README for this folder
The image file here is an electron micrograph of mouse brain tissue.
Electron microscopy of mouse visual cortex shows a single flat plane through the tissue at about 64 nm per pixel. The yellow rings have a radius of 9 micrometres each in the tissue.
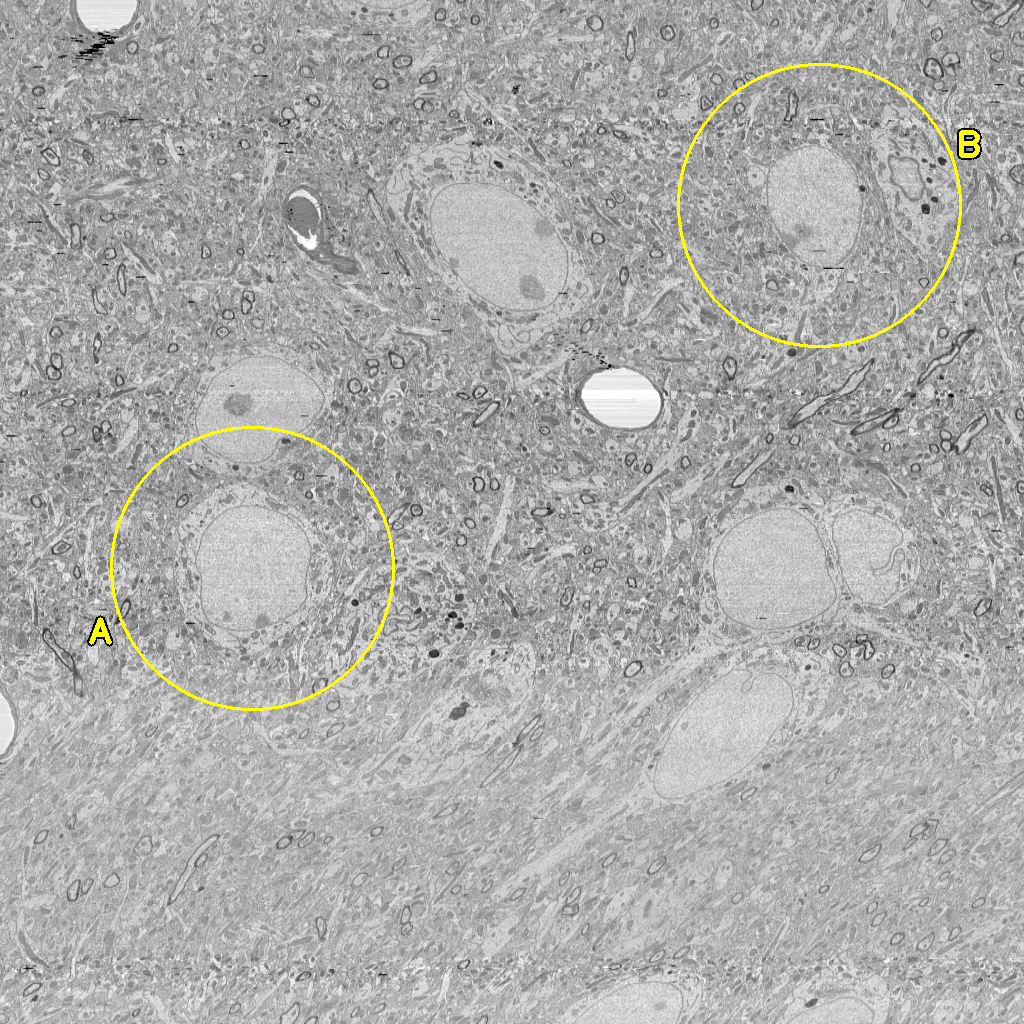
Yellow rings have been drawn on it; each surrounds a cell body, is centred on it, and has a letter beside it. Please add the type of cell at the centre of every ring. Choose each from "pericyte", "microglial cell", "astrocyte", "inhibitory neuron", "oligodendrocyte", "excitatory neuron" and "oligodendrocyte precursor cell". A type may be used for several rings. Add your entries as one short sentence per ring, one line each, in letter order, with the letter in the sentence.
Ring A marks the cell body of an excitatory neuron.
Ring B marks the cell body of an astrocyte.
